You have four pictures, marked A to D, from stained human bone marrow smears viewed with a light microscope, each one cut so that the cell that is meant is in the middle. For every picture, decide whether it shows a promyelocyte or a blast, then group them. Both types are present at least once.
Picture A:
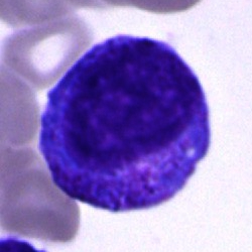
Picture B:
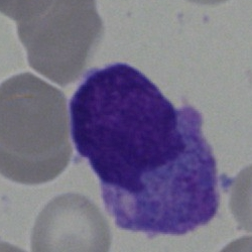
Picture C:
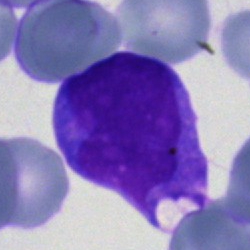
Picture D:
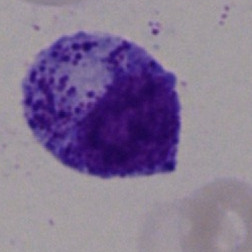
A: promyelocyte
B: blast
C: blast
D: promyelocyte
